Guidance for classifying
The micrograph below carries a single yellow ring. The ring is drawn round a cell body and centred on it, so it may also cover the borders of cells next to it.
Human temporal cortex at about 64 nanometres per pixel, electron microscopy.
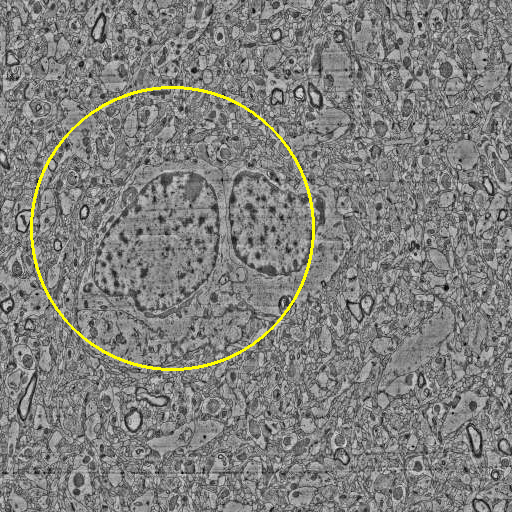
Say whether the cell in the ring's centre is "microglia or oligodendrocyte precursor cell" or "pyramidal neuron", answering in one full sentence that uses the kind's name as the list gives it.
Within the yellow ring, a microglial cell or oligodendrocyte precursor cell is the cell whose body sits at the centre.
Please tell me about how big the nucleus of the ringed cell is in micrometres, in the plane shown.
The ringed cell's nucleus measures approximately 9 by 7 micrometres in this plane.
